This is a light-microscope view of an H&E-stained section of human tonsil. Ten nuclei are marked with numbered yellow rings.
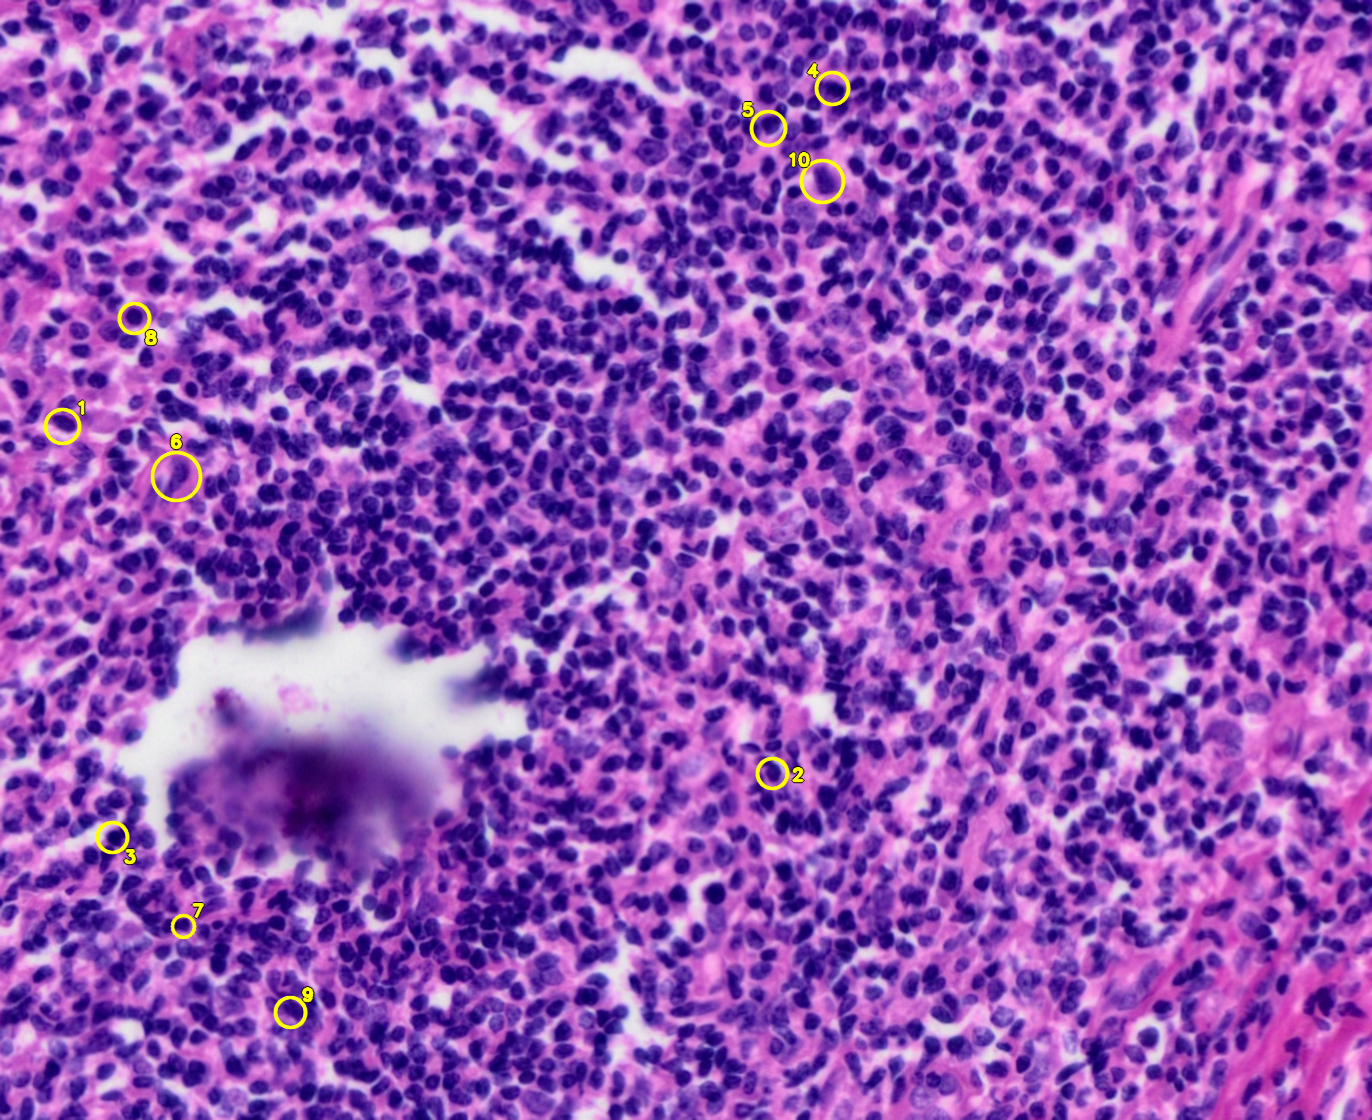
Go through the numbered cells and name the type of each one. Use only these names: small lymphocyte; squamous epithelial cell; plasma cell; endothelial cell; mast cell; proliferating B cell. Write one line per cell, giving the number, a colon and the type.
1: plasma cell
2: small lymphocyte
3: small lymphocyte
4: small lymphocyte
5: small lymphocyte
6: endothelial cell
7: small lymphocyte
8: plasma cell
9: small lymphocyte
10: proliferating B cell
